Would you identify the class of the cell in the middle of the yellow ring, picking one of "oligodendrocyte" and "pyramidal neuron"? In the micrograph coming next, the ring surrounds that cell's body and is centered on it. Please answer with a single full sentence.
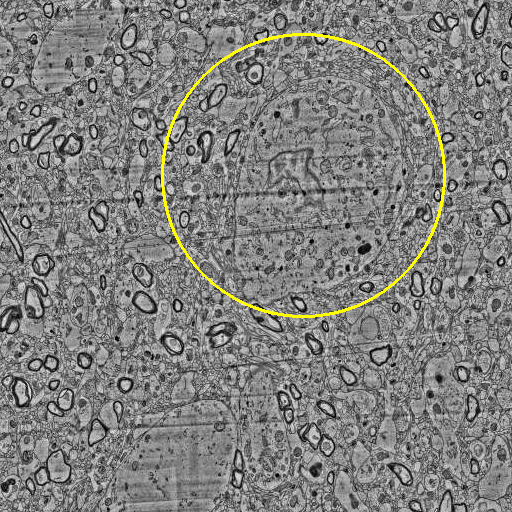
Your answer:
In the micrograph, it is a pyramidal neuron whose body lies at the ring's center.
